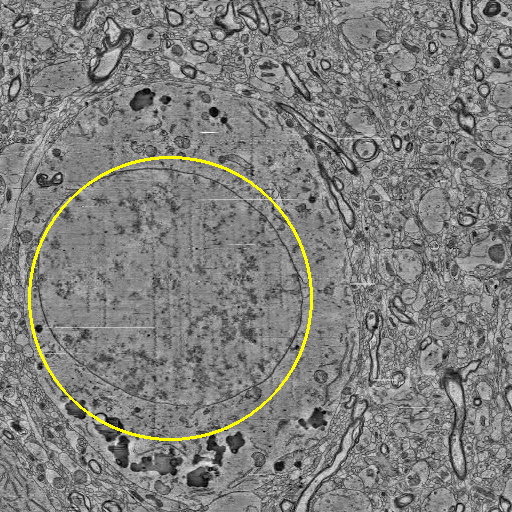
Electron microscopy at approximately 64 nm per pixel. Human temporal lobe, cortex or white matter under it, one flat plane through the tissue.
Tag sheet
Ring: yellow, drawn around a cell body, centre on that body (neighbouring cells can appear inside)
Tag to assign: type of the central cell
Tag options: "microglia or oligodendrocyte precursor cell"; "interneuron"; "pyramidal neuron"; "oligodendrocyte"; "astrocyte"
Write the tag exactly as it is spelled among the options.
pyramidal neuron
